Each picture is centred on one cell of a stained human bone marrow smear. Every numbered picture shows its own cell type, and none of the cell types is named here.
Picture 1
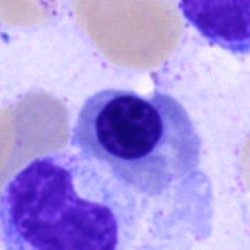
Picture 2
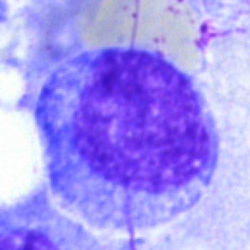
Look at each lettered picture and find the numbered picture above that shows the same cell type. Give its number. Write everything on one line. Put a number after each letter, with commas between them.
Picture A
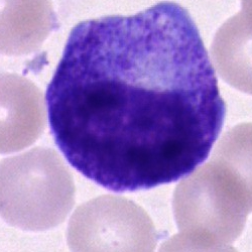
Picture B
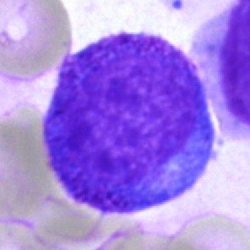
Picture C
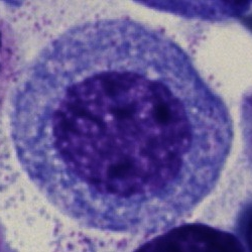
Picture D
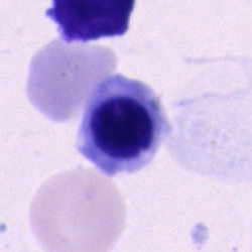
A 2, B 2, C 2, D 1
